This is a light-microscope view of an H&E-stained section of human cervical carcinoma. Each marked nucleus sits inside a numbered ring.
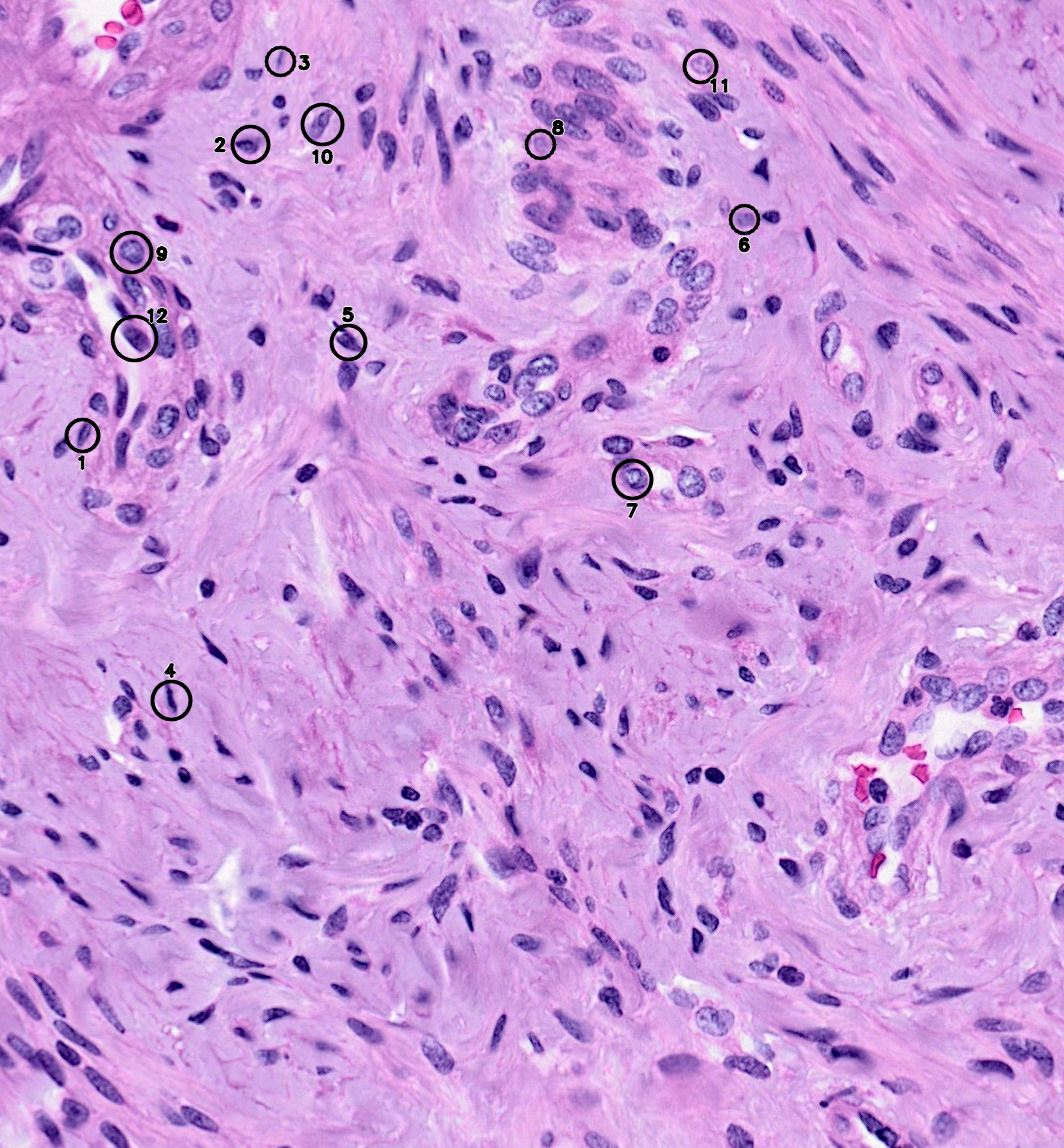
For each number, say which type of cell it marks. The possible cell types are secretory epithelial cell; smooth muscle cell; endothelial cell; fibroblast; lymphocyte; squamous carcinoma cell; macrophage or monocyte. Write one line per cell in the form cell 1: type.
cell 1: smooth muscle cell
cell 2: fibroblast
cell 3: fibroblast
cell 4: fibroblast
cell 5: fibroblast
cell 6: fibroblast
cell 7: endothelial cell
cell 8: smooth muscle cell
cell 9: smooth muscle cell
cell 10: fibroblast
cell 11: endothelial cell
cell 12: endothelial cell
